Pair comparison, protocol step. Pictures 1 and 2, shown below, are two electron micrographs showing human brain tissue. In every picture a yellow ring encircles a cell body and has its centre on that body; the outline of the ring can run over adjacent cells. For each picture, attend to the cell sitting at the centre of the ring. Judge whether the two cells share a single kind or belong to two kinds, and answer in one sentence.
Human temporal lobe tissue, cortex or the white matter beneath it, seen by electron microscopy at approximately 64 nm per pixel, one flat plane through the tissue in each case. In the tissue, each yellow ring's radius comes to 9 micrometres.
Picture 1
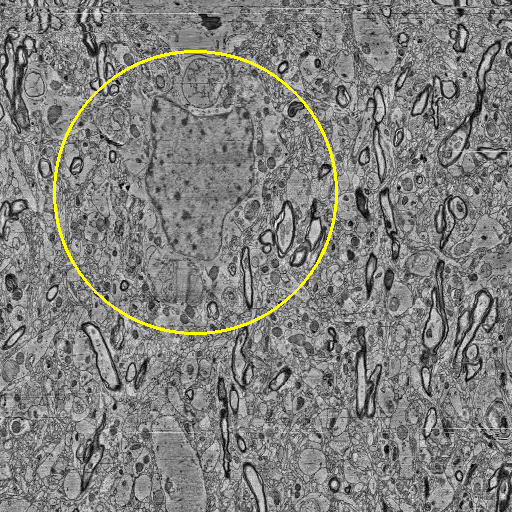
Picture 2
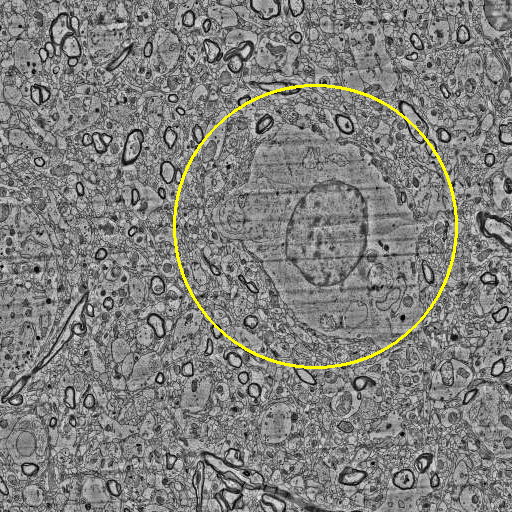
The two cells at the ring centres in Picture 1 and Picture 2 share a single kind.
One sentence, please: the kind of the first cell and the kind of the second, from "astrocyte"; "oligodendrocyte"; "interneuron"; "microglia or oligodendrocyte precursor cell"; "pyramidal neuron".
Both cells are the same kind, each one being an astrocyte.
